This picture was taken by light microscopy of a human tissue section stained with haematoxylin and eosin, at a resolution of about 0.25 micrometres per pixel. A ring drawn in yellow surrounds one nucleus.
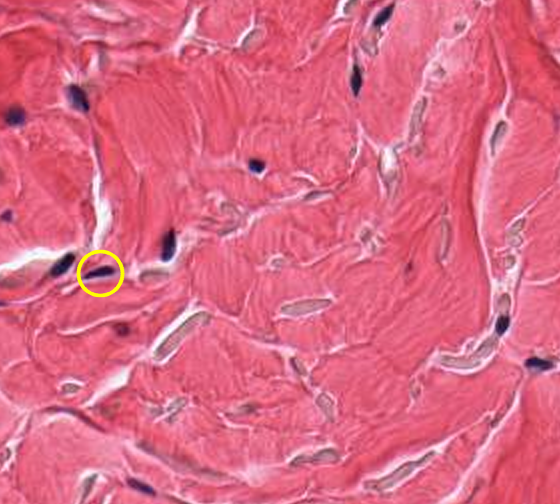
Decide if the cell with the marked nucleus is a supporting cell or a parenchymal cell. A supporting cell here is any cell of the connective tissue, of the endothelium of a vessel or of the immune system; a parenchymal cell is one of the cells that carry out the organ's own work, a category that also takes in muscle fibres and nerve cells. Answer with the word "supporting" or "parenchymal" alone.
supporting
